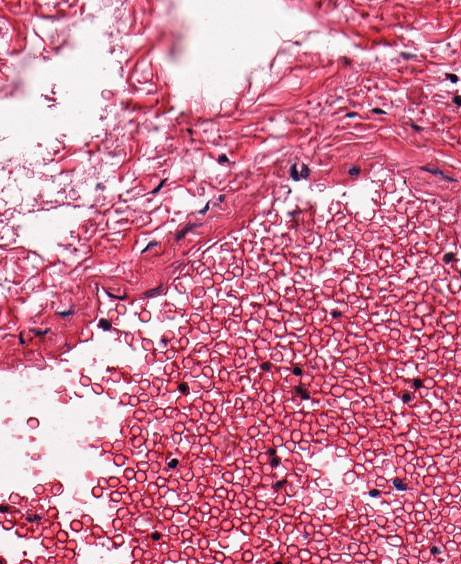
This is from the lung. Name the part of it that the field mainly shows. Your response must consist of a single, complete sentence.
The tissue component on view in this section is named blood in a vessel or clot.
